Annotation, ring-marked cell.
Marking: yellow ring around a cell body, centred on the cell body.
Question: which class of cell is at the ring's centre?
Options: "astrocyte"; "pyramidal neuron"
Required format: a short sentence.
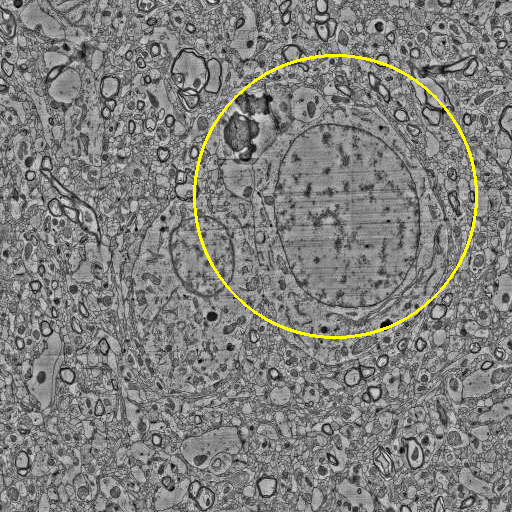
At the ring's centre is a pyramidal neuron.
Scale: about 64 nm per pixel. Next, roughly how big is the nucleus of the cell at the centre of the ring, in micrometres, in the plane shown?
The nucleus works out at approximately 12 by 9 micrometres in this plane.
